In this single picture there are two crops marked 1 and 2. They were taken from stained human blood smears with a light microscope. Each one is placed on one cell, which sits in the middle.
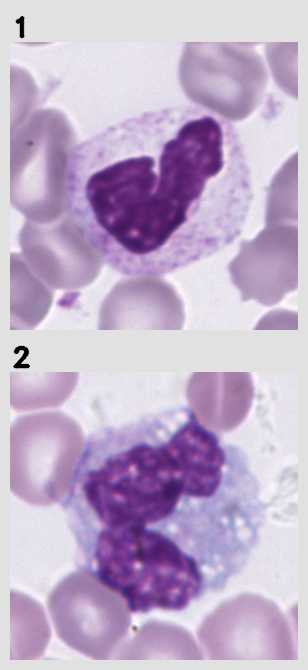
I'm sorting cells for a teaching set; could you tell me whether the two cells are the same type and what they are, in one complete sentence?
No, crop 1 offers a band neutrophil, while crop 2 offers a monocyte.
